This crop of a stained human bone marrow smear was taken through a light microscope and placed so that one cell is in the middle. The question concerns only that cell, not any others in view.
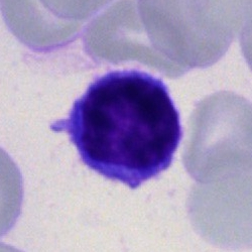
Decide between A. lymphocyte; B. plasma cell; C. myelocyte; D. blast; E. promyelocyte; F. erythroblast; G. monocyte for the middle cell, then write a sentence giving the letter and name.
Option A correctly names the cell in the middle as a lymphocyte.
